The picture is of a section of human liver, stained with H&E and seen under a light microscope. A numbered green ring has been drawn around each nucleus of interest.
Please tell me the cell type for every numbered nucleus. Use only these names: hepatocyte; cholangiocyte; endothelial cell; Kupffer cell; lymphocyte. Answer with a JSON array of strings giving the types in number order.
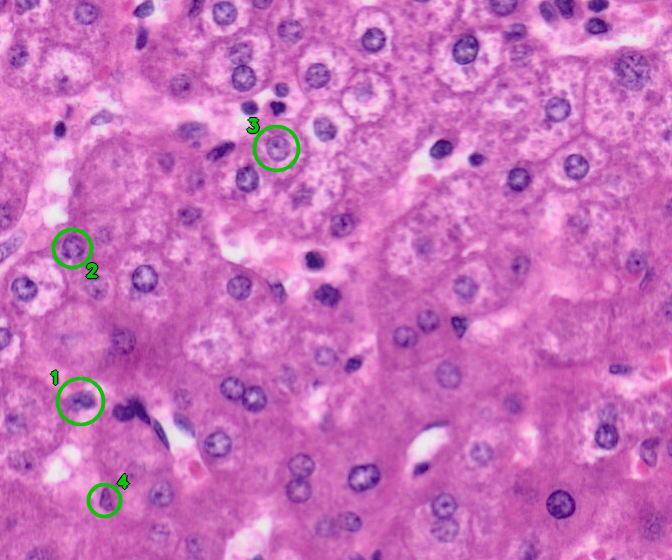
["endothelial cell", "hepatocyte", "hepatocyte", "endothelial cell"]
